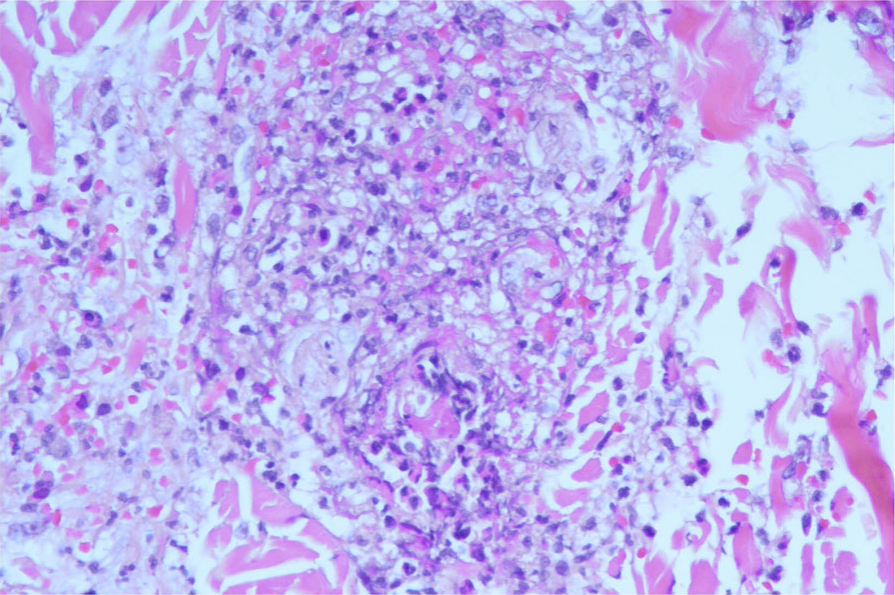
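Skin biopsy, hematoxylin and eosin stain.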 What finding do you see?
Fibrinoid necrosis of small venules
